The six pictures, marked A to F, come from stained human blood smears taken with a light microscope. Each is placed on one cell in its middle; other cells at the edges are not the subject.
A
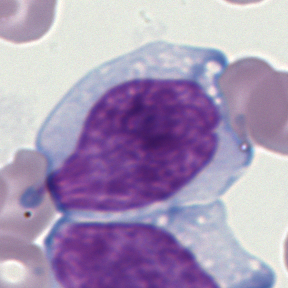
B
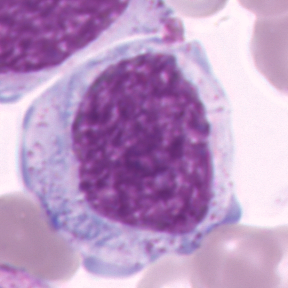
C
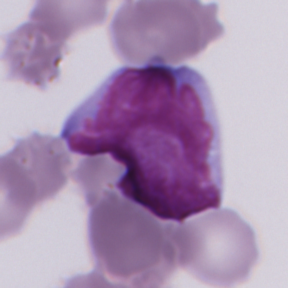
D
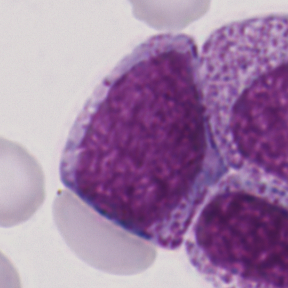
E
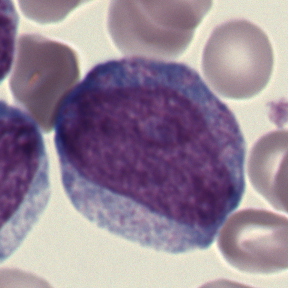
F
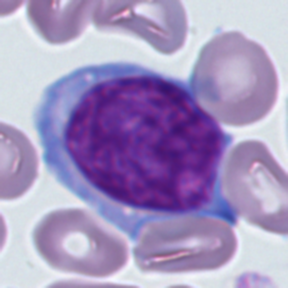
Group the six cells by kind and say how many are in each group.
myeloblast: 3
promyelocyte: 3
